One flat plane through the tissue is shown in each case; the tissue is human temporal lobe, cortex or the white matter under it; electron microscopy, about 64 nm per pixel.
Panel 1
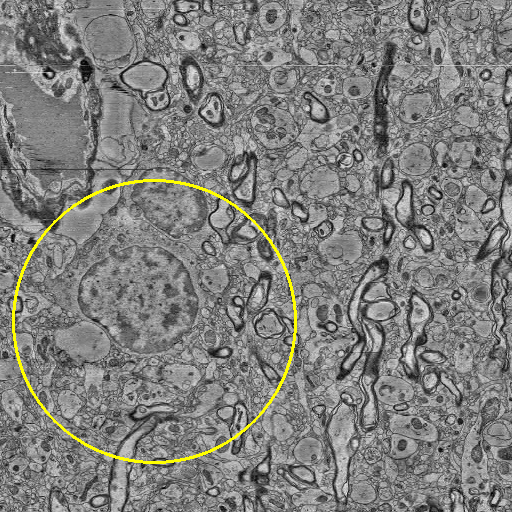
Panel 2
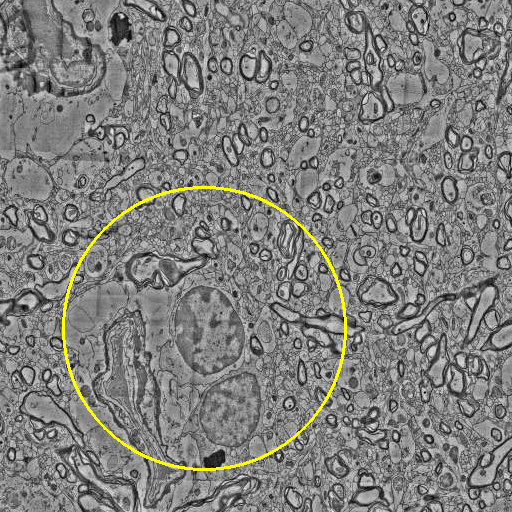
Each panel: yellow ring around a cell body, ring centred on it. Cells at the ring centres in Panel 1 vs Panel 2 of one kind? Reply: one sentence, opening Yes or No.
No, Panel 1 and Panel 2 have cells of two kinds at the ring centres.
